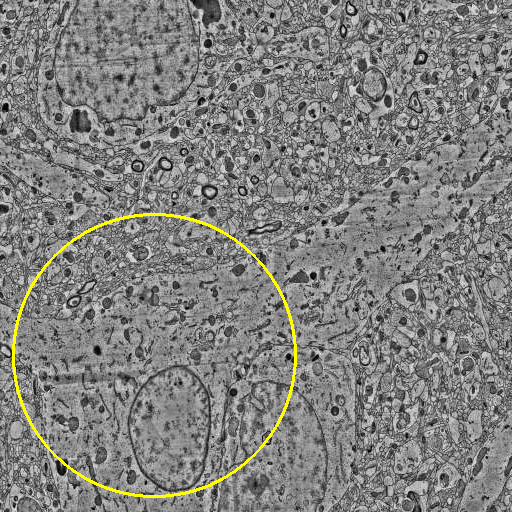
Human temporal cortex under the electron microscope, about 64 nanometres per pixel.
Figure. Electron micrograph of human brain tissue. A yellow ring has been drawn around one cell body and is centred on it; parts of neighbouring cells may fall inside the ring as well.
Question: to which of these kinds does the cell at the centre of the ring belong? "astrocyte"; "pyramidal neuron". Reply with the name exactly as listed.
pyramidal neuron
